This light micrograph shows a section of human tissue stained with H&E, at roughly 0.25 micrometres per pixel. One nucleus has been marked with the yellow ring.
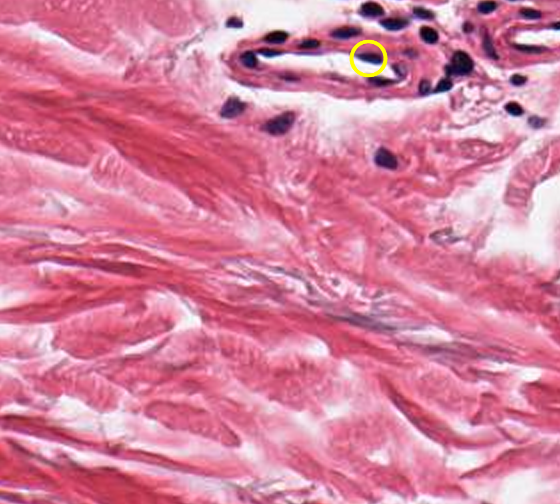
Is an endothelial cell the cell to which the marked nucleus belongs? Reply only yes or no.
yes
